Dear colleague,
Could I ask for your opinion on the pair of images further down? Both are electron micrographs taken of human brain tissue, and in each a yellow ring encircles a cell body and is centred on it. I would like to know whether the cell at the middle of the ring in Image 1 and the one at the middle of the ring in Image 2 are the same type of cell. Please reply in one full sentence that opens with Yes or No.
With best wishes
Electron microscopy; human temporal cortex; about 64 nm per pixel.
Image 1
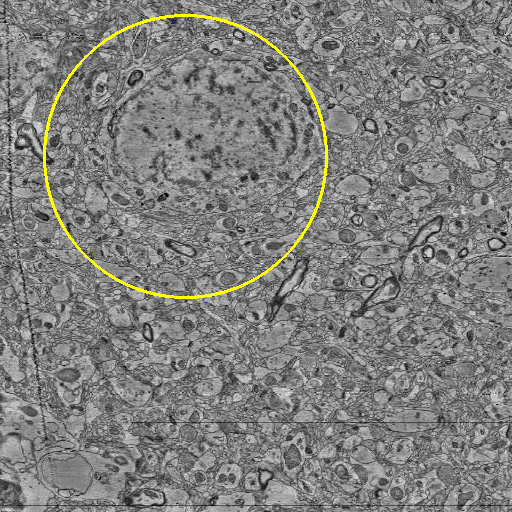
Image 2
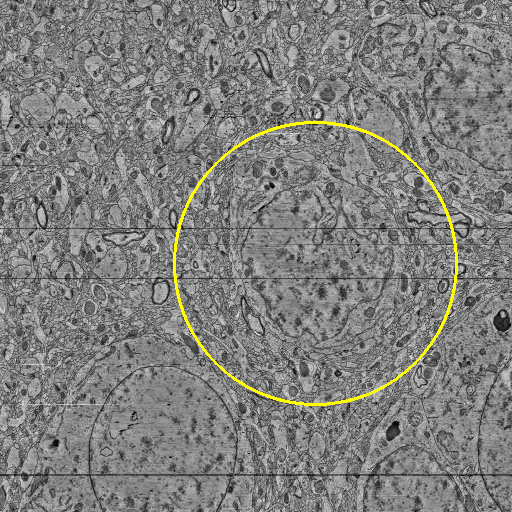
Yes, the cells at the ring centres in Image 1 and Image 2 are of one type.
